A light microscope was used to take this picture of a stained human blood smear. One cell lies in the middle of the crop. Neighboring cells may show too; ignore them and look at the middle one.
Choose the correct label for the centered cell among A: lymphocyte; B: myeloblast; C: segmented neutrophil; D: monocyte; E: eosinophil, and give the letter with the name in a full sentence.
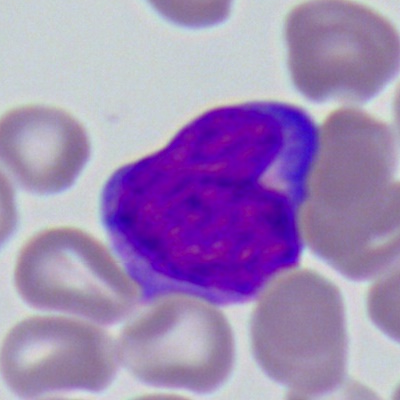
Option B is the correct selection, for the cell at the centre is a myeloblast.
